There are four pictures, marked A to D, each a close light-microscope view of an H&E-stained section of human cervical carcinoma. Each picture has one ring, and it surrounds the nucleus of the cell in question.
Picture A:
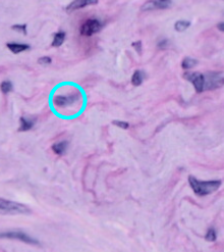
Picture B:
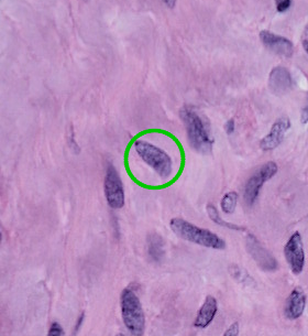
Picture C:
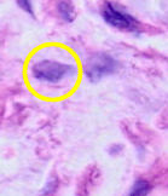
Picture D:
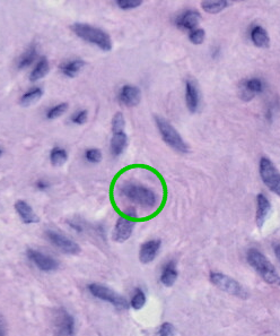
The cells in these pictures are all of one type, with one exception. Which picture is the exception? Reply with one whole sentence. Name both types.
The others show fibroblasts, but picture A shows a smooth muscle cell.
